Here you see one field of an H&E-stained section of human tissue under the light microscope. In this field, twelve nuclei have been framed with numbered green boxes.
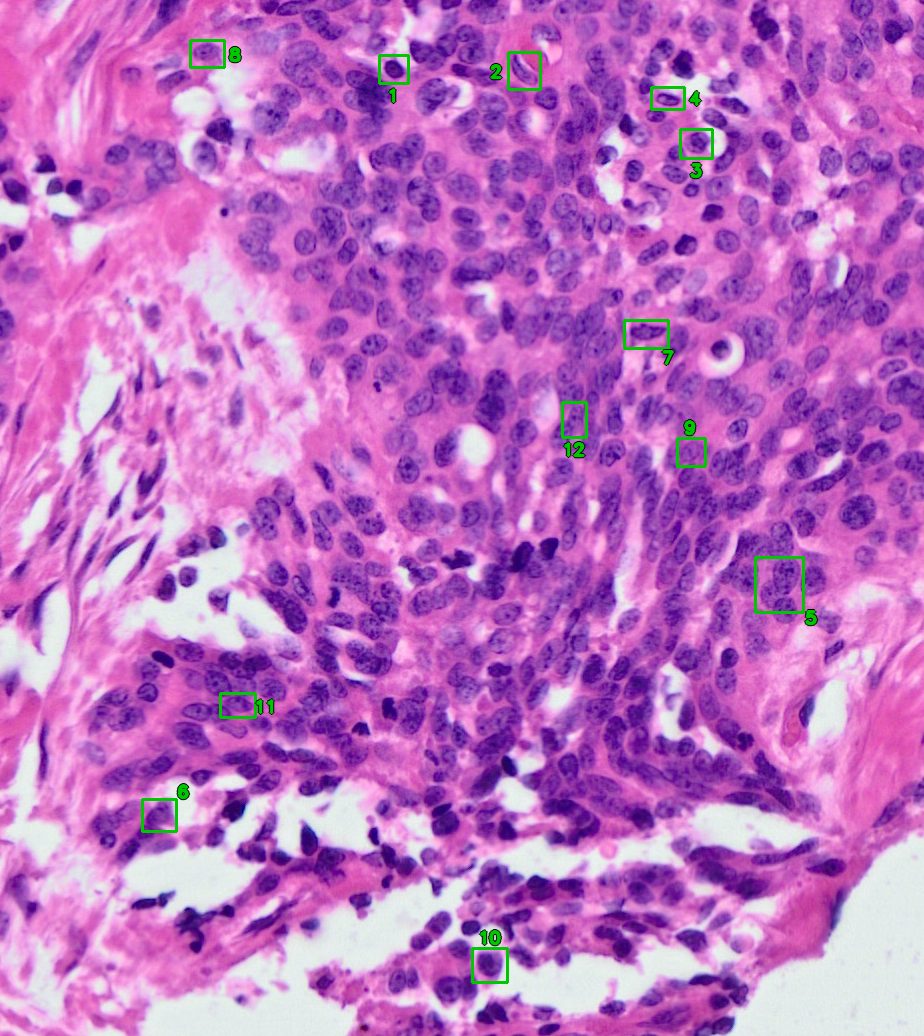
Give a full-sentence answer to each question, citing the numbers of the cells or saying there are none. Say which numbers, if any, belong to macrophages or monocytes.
The cells with the number labels 3, 4, 7 and 8 are macrophages or monocytes.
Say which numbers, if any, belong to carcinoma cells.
The cells whose numbers are 1, 5, 6, 9, 10, 11 and 12 are carcinoma cells.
